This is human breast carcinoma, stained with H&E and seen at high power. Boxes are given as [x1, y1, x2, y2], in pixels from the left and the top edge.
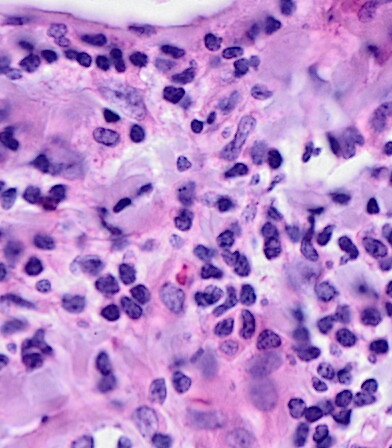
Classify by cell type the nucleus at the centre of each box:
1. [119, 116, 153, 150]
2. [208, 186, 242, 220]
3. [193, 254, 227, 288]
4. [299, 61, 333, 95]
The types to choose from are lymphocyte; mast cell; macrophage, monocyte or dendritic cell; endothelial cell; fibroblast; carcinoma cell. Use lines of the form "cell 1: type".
cell 1: lymphocyte
cell 2: lymphocyte
cell 3: lymphocyte
cell 4: fibroblast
